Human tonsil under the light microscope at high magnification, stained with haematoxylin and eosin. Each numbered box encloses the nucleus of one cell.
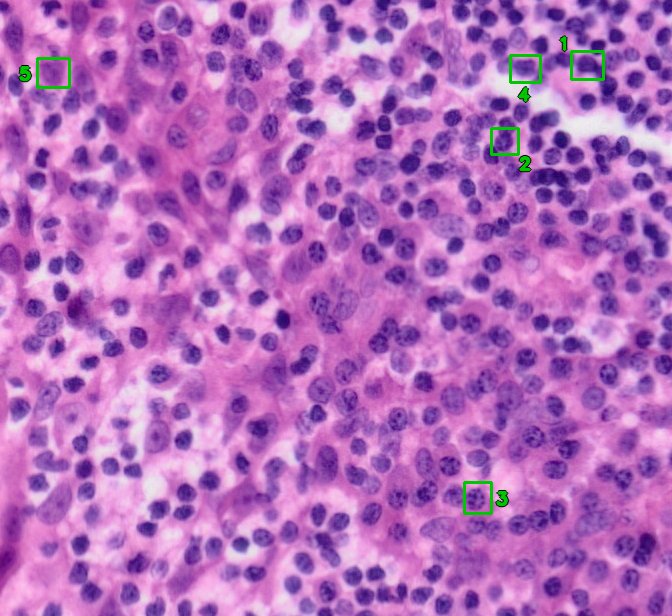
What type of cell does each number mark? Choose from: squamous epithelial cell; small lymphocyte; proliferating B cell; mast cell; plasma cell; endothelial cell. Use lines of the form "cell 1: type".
cell 1: small lymphocyte
cell 2: small lymphocyte
cell 3: plasma cell
cell 4: small lymphocyte
cell 5: squamous epithelial cell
